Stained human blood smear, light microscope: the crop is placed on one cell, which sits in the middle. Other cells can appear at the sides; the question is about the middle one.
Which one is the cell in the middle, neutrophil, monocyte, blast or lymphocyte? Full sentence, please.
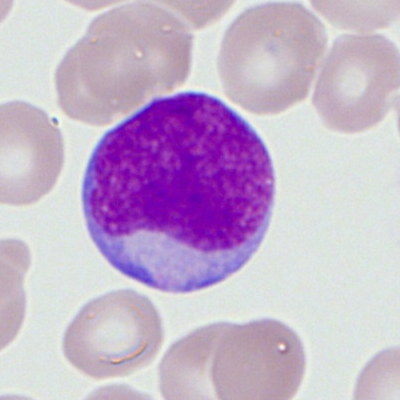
To answer, the cell in the center of the crop is a blast.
